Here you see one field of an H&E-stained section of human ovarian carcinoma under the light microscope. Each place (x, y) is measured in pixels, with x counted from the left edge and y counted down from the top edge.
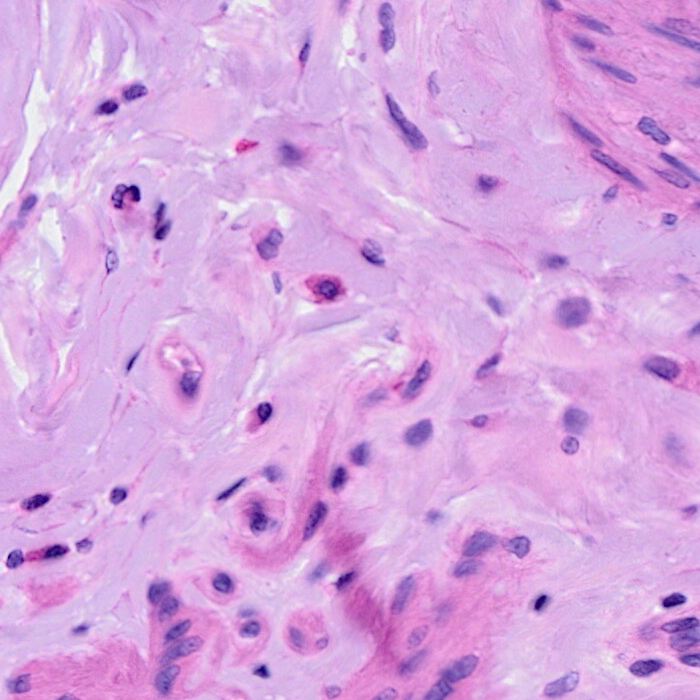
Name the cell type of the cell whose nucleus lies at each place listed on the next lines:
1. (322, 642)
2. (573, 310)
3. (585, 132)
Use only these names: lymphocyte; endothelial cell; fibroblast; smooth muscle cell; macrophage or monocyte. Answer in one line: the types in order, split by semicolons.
smooth muscle cell; fibroblast; smooth muscle cell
